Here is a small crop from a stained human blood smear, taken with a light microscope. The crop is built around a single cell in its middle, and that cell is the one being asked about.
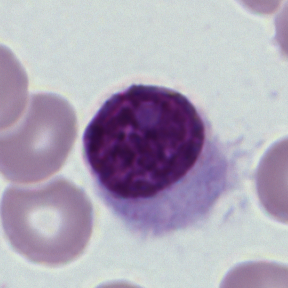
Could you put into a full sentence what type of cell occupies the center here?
The centered cell in this crop is a plasma cell.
